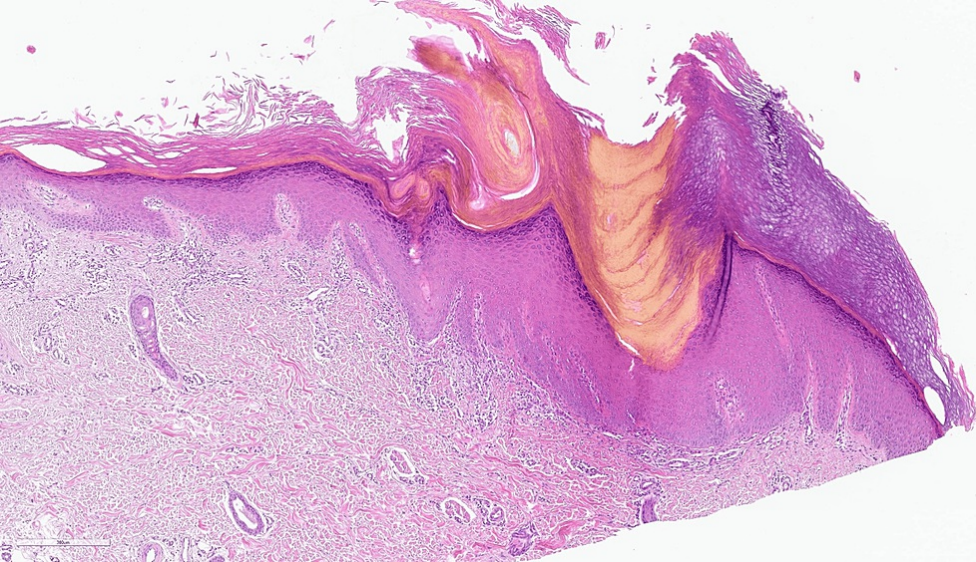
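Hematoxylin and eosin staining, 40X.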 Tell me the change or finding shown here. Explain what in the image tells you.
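A thick layer of compact, laminated orange-pink keratin sits on the epidermis. The keratin fills a deep cup-shaped depression of the epidermis. Loose flaky keratin also lies over the left part of the surface. The answer: Hyperkeratotic lesion.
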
